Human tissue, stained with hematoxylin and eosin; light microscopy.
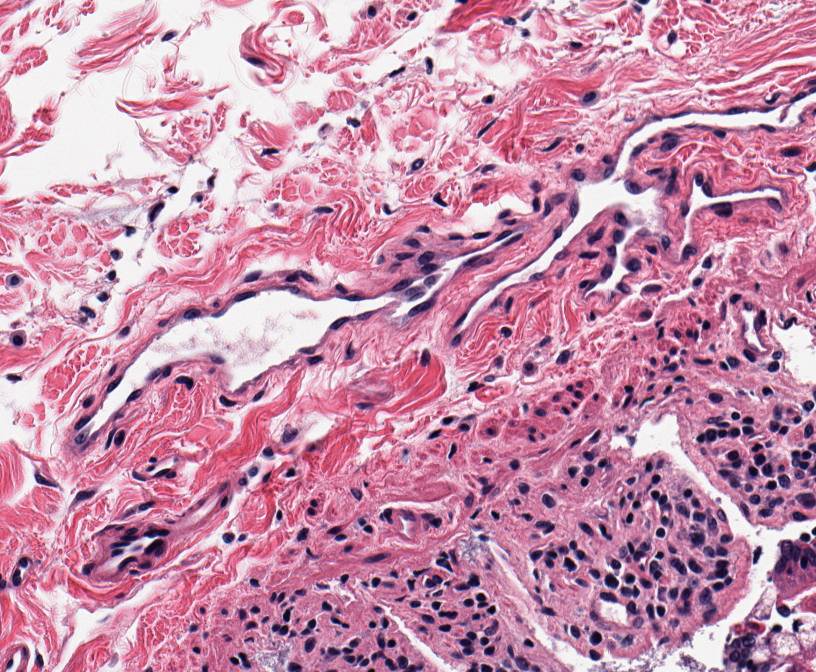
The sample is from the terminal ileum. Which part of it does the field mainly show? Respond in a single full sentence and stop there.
The structure this section shows is dense connective tissue.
